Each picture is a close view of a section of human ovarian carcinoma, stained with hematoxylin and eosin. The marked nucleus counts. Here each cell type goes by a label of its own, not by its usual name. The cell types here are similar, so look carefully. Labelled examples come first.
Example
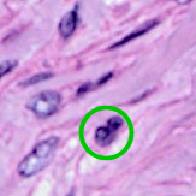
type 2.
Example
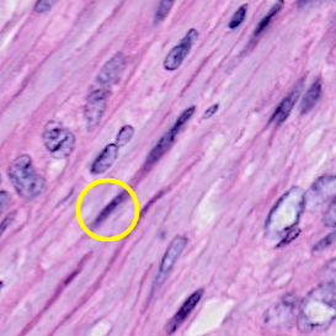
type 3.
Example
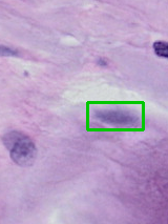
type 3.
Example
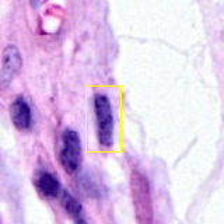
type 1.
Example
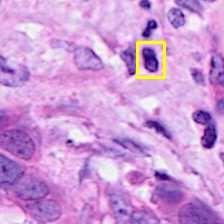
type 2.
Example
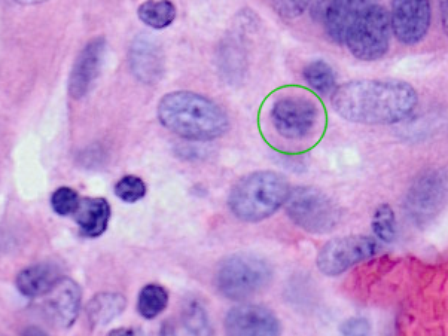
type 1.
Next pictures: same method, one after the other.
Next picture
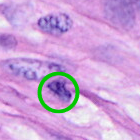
type 1.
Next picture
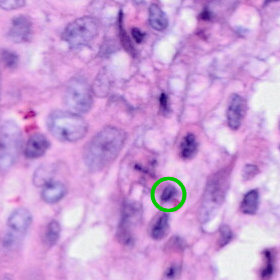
type 2.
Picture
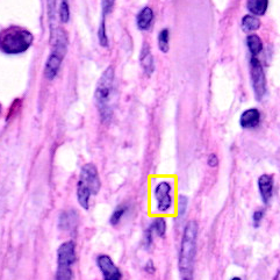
type 2.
